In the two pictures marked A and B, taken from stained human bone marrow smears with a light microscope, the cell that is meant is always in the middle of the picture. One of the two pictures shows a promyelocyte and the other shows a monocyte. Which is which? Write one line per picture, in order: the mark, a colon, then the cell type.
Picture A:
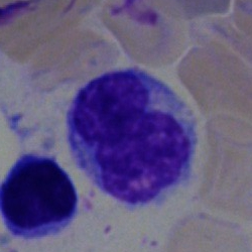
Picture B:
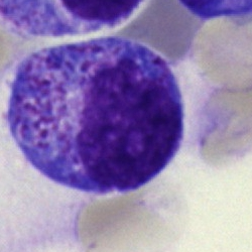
A: monocyte
B: promyelocyte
